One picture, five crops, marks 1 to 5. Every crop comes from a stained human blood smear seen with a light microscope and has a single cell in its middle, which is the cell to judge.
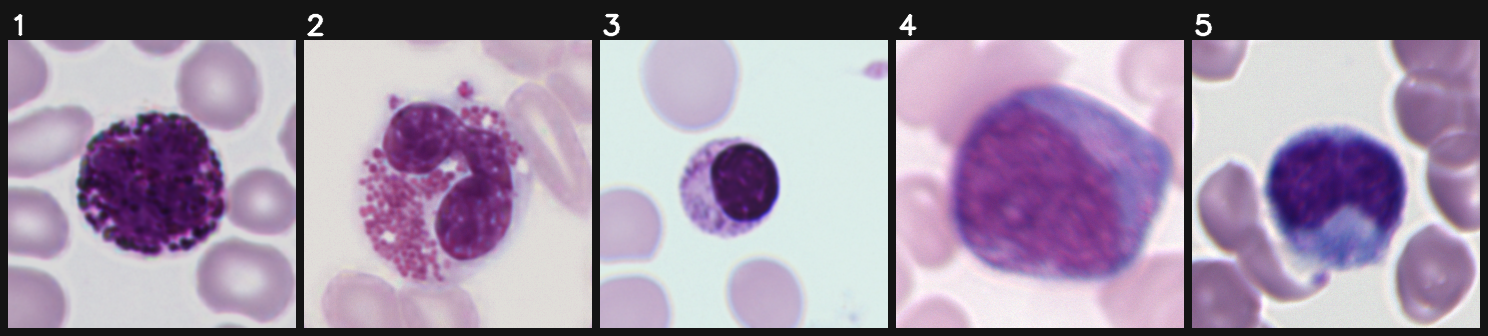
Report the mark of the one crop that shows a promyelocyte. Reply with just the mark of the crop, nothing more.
4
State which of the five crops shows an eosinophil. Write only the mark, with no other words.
2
